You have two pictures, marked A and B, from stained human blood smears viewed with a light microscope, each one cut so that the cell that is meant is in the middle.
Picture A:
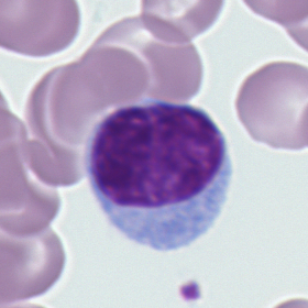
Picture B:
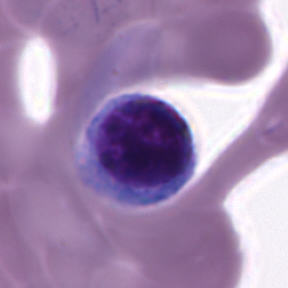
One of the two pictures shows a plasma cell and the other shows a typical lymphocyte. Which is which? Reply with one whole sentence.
The cell in picture A is a typical lymphocyte, and the one in picture B is a plasma cell.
